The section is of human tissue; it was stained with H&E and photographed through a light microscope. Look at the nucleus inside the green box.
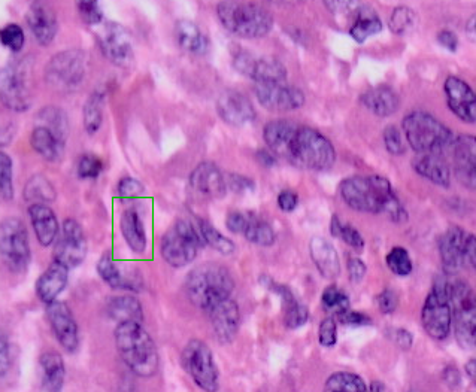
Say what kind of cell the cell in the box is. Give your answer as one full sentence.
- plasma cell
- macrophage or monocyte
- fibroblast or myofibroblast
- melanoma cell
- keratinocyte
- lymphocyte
The cell meant here is a macrophage or monocyte.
